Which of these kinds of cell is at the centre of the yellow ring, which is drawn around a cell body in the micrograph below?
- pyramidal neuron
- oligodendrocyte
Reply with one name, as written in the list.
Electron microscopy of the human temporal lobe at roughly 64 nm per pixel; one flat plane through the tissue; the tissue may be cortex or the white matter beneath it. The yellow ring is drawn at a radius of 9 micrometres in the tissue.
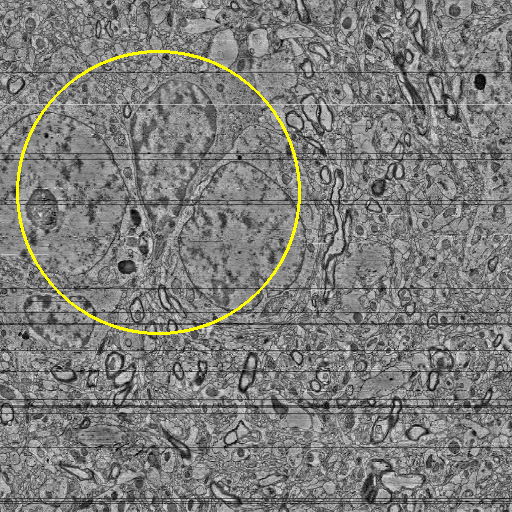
oligodendrocyte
